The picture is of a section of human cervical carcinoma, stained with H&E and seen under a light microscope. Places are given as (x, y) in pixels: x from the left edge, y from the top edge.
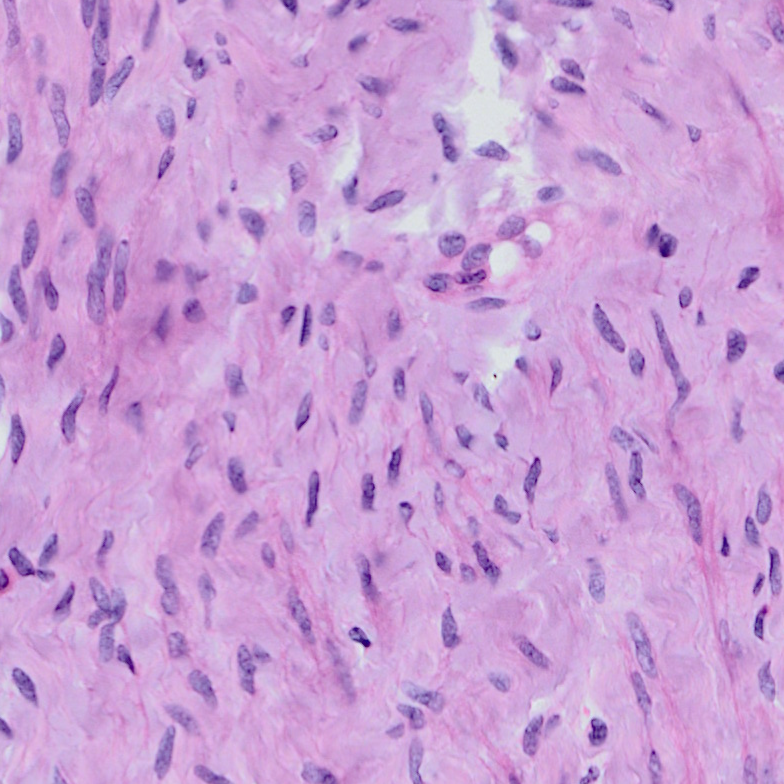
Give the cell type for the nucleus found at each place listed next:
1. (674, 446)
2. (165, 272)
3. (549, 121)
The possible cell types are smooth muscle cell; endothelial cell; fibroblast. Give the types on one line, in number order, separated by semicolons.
smooth muscle cell; fibroblast; fibroblast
